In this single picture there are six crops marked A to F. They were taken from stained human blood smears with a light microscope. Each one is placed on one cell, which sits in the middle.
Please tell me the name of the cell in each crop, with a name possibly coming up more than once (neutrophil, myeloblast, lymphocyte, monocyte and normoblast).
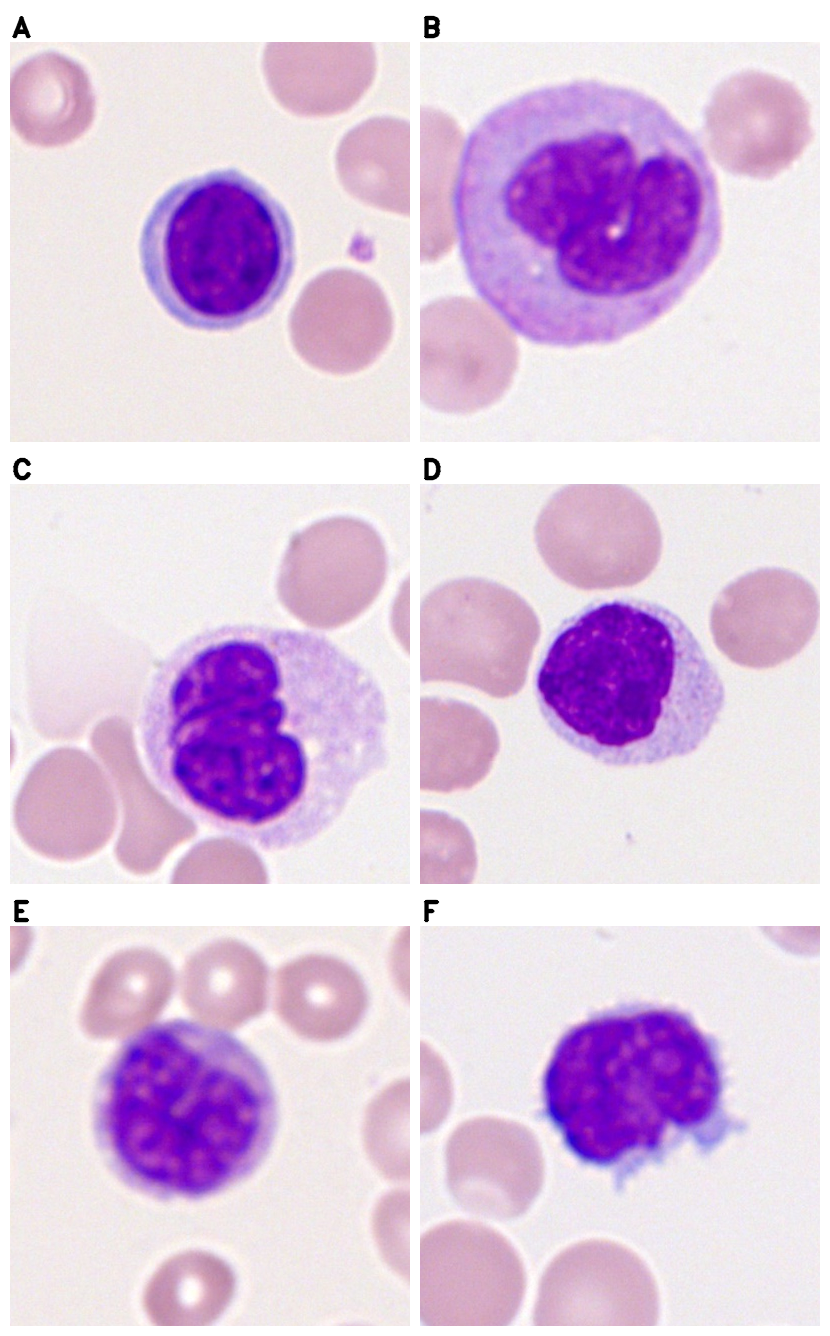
A: lymphocyte
B: monocyte
C: monocyte
D: lymphocyte
E: monocyte
F: lymphocyte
